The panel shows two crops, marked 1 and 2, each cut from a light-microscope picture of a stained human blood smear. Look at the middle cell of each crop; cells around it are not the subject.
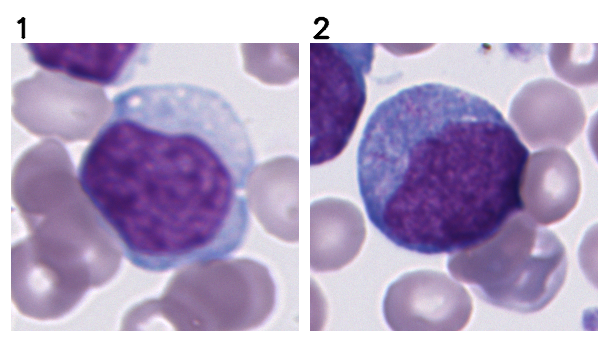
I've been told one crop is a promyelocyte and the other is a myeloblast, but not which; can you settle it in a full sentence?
It is a myeloblast that crop 1 shows, and a promyelocyte that crop 2 shows.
